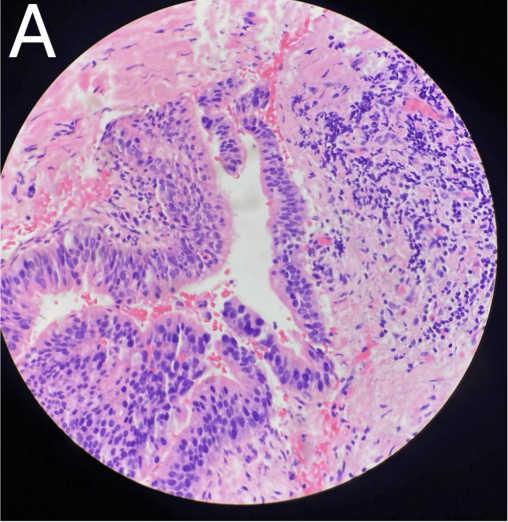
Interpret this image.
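Epithelial strips line a branching lumen; their nuclei are enlarged, dark purple, crowded and stratified through much of the epithelial thickness, with loss of an orderly single row. The surrounding stroma on the right is densely packed with small dark round cells consistent with inflammatory infiltrate, while the upper left shows pink fibrous stroma. Scattered red blood cells lie along the stroma and in the lumen.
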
